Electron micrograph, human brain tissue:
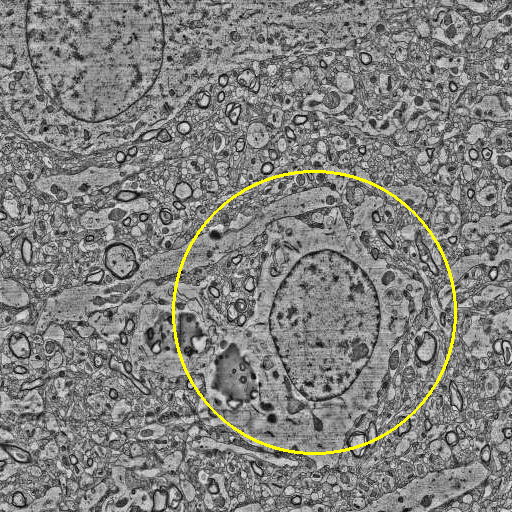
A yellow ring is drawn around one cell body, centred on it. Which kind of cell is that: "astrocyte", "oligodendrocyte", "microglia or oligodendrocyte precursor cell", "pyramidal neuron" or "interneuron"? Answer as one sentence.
It is an astrocyte at the centre of the ring.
